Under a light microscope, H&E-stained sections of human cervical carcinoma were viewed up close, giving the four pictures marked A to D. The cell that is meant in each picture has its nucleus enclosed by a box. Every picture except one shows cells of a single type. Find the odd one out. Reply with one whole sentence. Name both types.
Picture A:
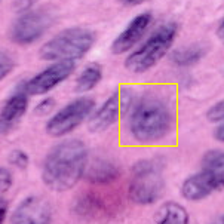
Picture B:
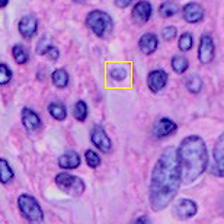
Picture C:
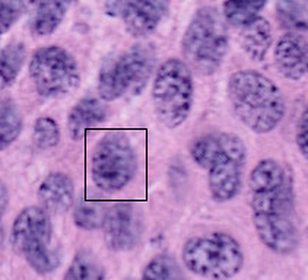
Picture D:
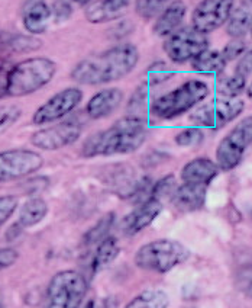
Picture B is the odd one out: it shows a smooth muscle cell, while the others show squamous carcinoma cells.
